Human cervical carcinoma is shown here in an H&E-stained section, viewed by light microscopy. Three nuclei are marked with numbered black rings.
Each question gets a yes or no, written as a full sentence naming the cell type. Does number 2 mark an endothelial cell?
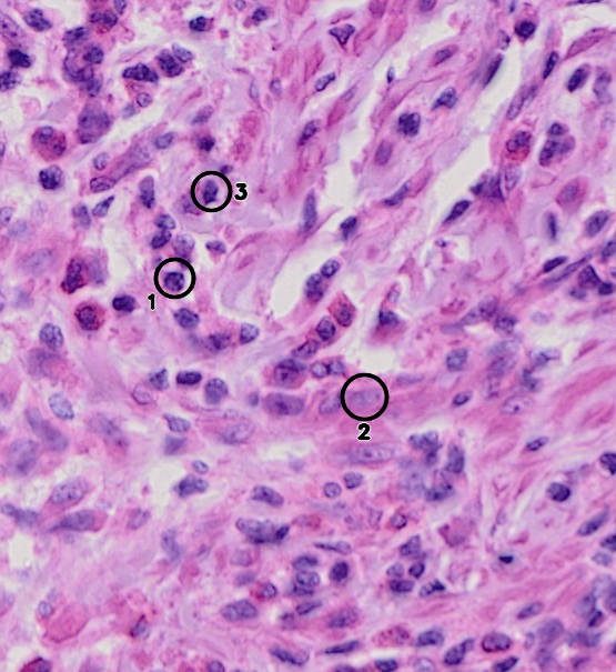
Yes, the cell carrying label 2 is an endothelial cell.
